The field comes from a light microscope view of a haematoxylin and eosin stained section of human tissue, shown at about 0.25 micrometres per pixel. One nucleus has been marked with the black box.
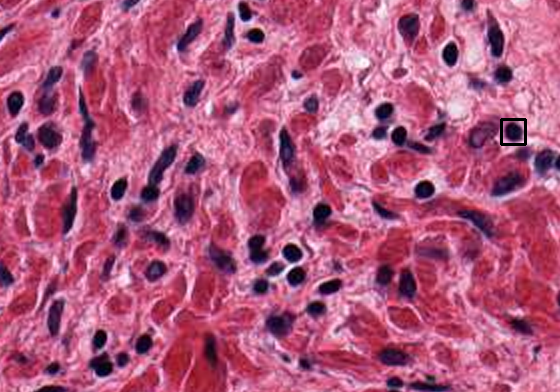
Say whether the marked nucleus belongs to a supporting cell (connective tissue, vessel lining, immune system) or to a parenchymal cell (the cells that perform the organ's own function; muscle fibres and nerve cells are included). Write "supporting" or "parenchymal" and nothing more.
supporting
